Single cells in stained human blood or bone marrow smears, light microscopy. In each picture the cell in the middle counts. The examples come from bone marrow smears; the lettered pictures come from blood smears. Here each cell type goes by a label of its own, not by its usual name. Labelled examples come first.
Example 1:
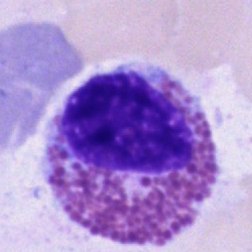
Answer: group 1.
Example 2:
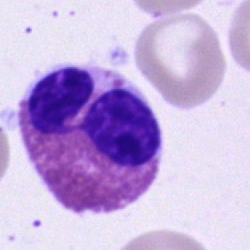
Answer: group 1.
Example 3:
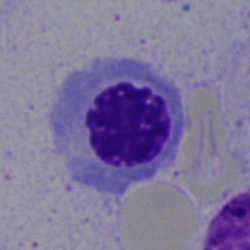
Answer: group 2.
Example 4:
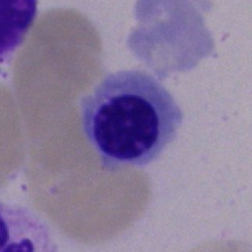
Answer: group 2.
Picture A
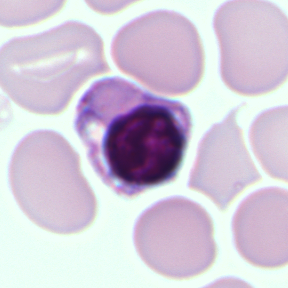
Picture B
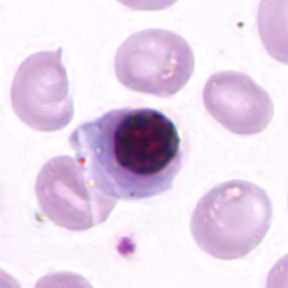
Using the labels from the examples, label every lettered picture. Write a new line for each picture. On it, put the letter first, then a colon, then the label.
A: group 2.
B: group 2.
